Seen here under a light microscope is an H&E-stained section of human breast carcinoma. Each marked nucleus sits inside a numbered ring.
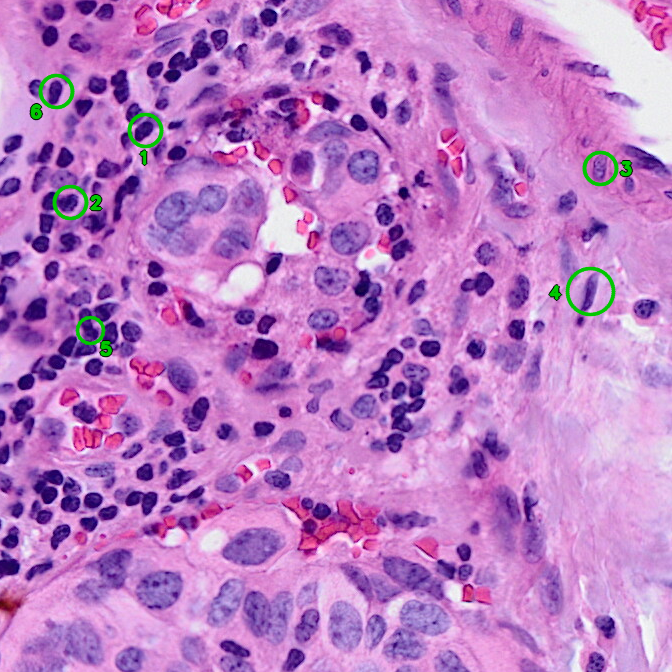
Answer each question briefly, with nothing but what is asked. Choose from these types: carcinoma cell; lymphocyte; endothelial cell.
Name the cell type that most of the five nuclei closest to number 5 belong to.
lymphocyte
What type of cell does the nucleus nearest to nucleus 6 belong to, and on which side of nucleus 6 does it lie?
a lymphocyte, to the left of nucleus 6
